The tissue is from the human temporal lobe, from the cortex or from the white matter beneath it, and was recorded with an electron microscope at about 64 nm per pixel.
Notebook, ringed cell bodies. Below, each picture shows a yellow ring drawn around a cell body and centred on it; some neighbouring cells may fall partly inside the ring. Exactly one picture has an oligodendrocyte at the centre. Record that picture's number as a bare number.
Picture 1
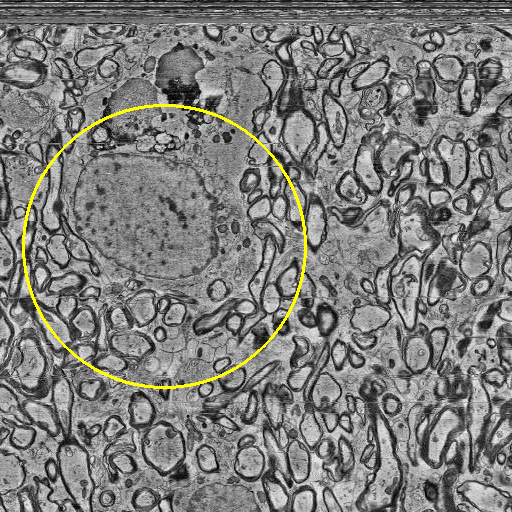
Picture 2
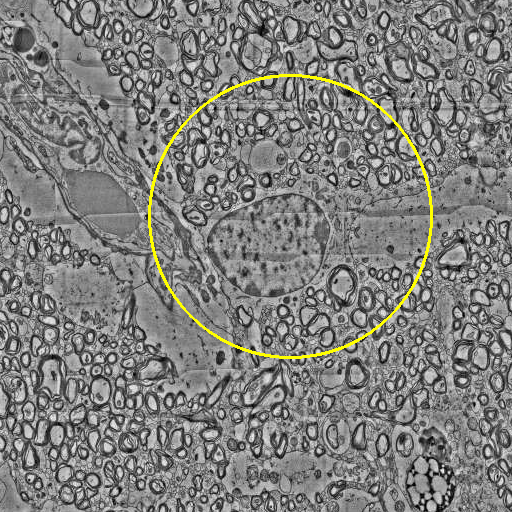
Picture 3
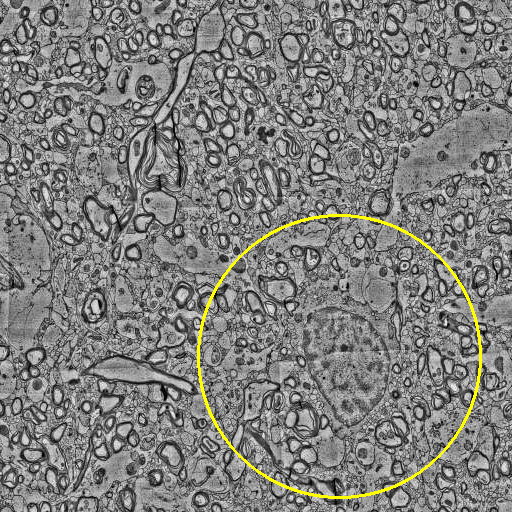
3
